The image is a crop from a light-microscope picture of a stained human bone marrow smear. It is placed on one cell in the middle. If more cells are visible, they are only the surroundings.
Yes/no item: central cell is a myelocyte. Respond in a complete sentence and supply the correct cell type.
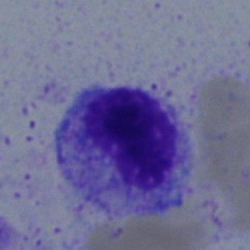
Yes, the cell in the central position is a myelocyte.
